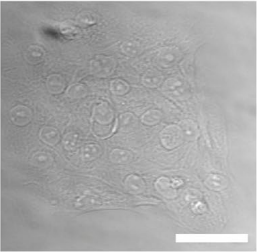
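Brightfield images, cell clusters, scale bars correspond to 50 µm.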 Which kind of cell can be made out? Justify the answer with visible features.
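Cells are tightly packed side by side in a coherent sheet. Cells are rounded-polygonal with a central round nucleus. Few elongated protrusions extend from the cluster. That points to this answer: epithelial cells.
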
